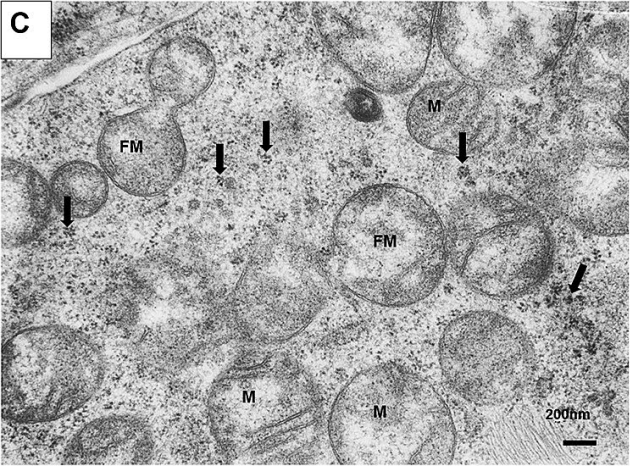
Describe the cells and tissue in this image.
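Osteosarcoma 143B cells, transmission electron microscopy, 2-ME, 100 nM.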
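Several mitochondria are small and spherical, and some profiles appear pinched, in keeping with mitochondrial fission. The mitochondria have a pale matrix with sparse cristae. Scattered between them are small clusters of very dense granules, the glycogen rosettes. A small, round, dense body lies among the mitochondria near the top.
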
